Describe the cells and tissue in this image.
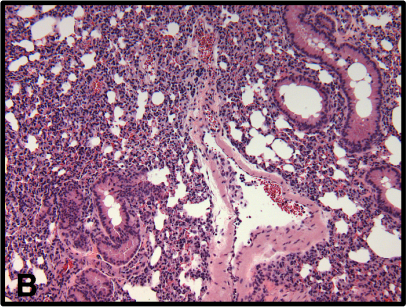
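This lung tissue is markedly abnormal: the air spaces are largely obliterated and the parenchyma appears solid and crowded with small dark nuclei of infiltrating inflammatory cells. Several bronchioles with pink epithelial linings and a blood vessel filled with red cells stand out in the dense tissue. Only scattered small clear air spaces remain, and red blood cells are seen in places within the tissue.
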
